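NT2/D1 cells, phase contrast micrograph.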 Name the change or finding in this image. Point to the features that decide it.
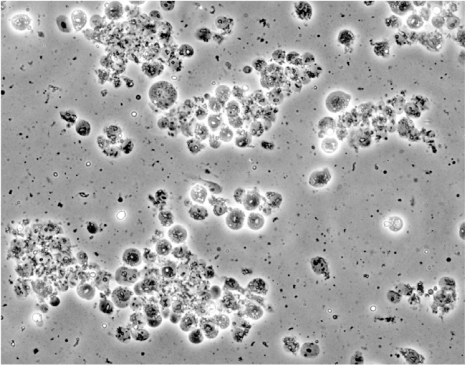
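Most cells are rounded rather than spread flat. Cells lie in loose clumps with bright halo edges. Granular debris is scattered between the cells.
Rounding and detachment of cells.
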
